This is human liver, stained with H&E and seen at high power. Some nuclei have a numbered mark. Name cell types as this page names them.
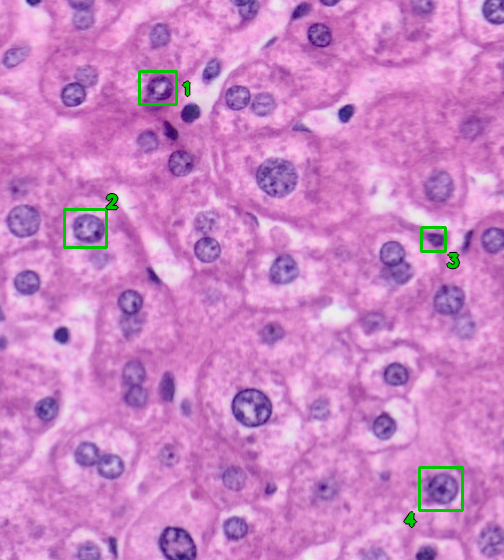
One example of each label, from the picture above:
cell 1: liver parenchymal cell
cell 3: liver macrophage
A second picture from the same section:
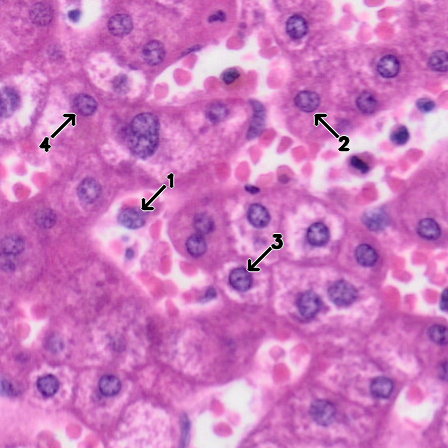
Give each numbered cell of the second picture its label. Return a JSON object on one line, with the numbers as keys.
{"1": "liver macrophage", "2": "liver parenchymal cell", "3": "liver parenchymal cell", "4": "liver parenchymal cell"}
